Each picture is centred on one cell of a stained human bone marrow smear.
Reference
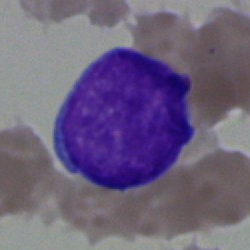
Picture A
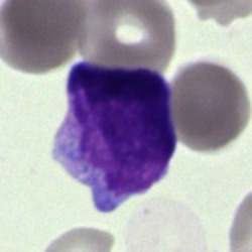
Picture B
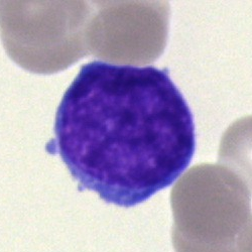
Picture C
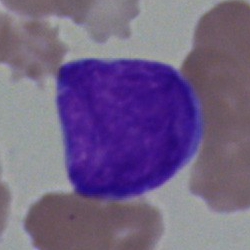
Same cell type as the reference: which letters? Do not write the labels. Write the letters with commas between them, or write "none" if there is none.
A, B, C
